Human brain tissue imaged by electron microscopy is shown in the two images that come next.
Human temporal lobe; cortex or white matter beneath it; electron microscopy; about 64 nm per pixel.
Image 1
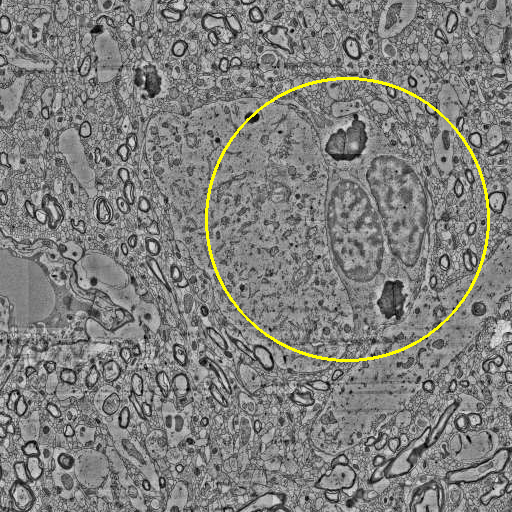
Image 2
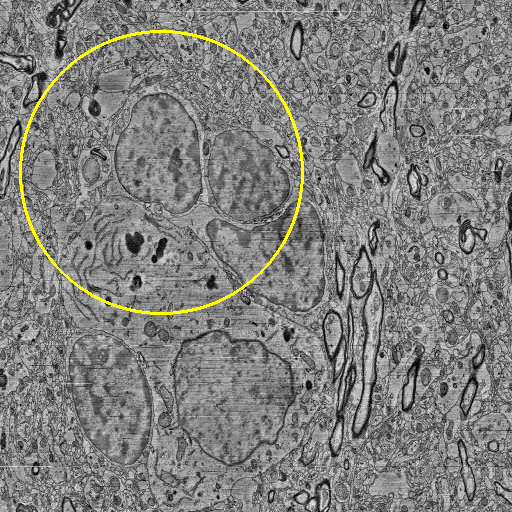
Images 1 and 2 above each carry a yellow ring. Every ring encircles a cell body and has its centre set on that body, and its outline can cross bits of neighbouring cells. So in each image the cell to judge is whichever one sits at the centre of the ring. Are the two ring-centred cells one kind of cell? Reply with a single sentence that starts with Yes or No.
No, in Image 1 and Image 2 the cells at the centres of their rings fall into two types.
